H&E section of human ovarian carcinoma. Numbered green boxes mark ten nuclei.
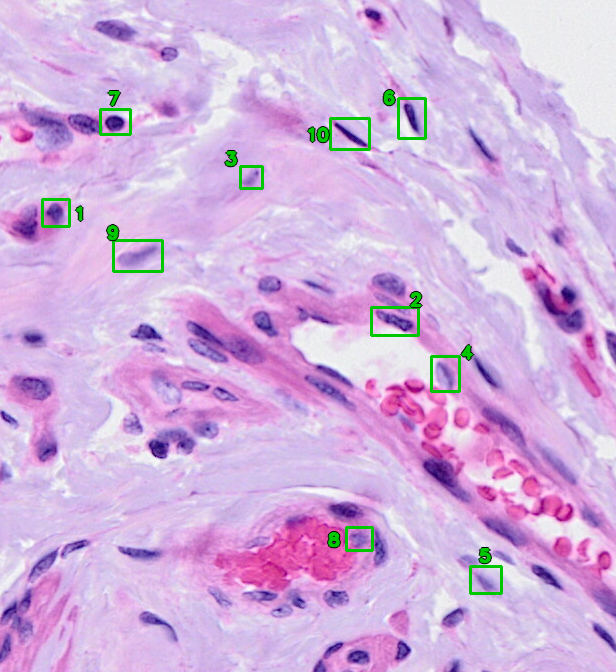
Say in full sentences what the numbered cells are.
Cell 1 is a smooth muscle cell, cell 2 is an endothelial cell, cell 3 is a fibroblast, cell 4 is an endothelial cell, cell 5 is a fibroblast, cell 6 is a fibroblast, cell 7 is a lymphocyte, cell 8 is an endothelial cell, cell 9 is a fibroblast and cell 10 is a fibroblast.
